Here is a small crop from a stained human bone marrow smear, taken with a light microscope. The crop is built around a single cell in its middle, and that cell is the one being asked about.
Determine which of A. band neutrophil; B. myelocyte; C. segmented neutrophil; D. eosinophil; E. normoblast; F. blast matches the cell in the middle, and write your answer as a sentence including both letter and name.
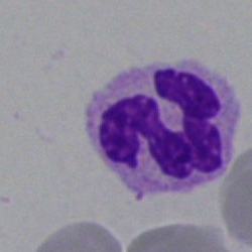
It is a segmented neutrophil that occupies the centre of the crop, so option C is correct.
